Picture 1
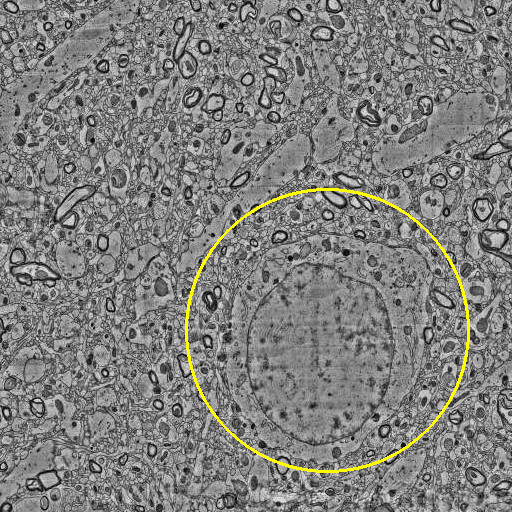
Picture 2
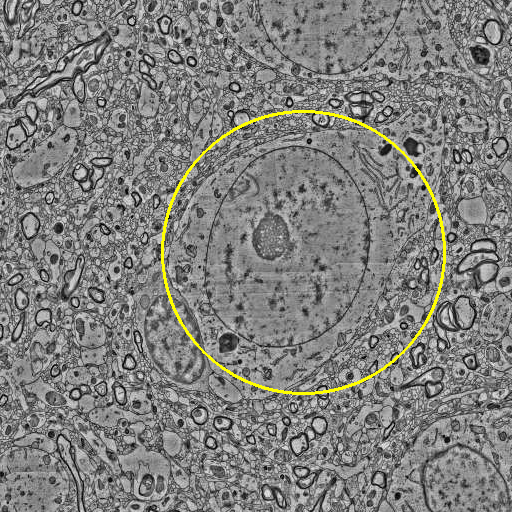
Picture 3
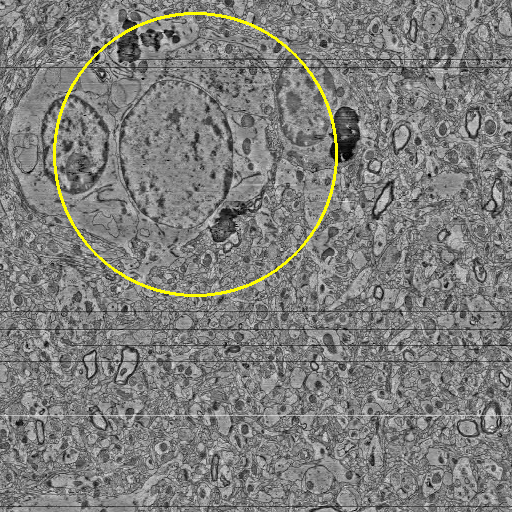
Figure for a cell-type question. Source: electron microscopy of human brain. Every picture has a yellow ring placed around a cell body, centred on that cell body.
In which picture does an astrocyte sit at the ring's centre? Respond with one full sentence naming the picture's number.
The cell in the middle of the ring in picture 3 is the one sought.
